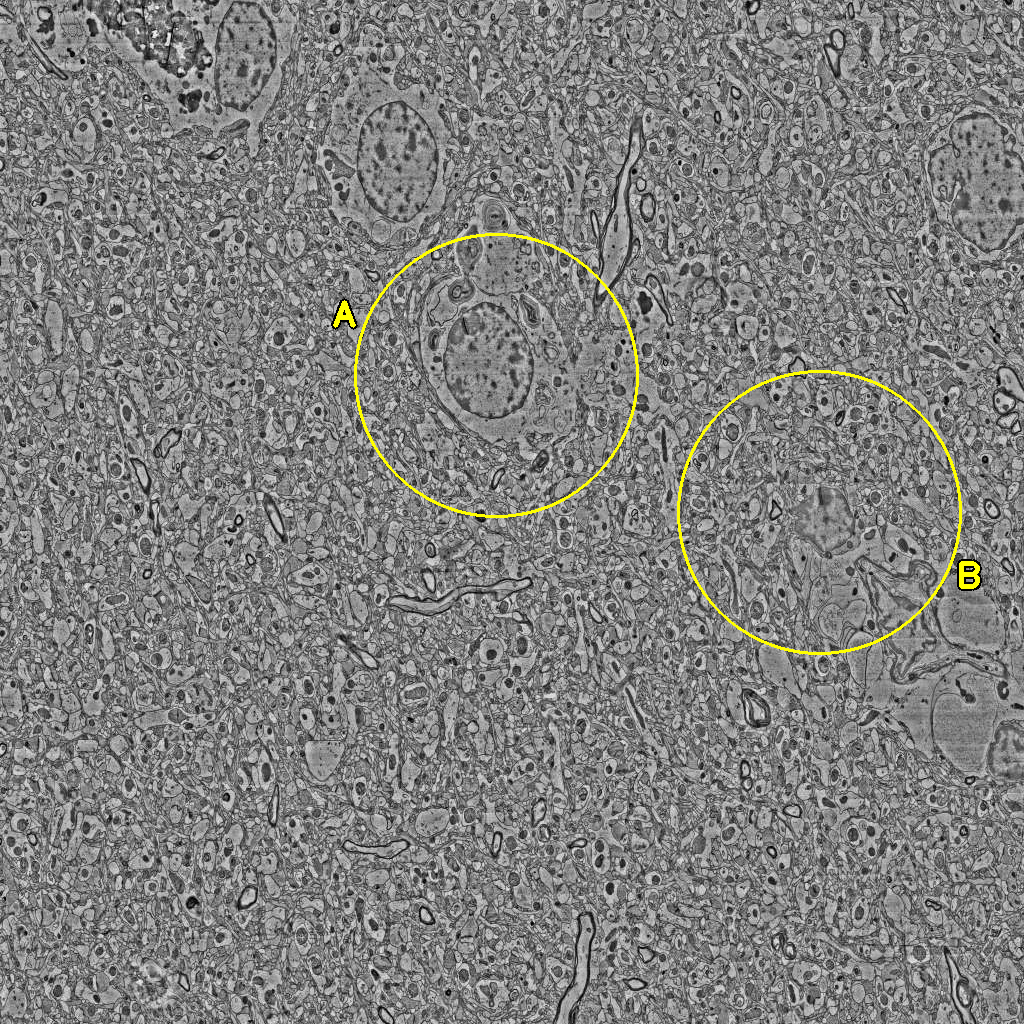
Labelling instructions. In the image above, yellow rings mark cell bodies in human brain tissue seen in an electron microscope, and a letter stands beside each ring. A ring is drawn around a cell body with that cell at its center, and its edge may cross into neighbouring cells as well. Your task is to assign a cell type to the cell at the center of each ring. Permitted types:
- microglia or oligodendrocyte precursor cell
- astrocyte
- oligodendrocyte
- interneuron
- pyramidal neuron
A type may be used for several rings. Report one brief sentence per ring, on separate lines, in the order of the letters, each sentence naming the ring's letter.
The cell at the center of ring A is an astrocyte.
The cell at the center of ring B is an oligodendrocyte.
